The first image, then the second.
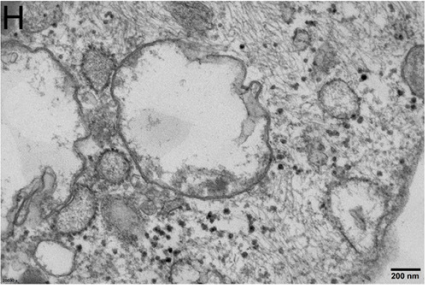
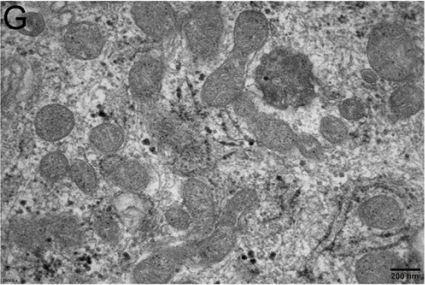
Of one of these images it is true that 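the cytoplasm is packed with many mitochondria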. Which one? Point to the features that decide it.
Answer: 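The second image. First image: a large clear vacuole and smaller vesicles, no organelles with clear cristae. Second image: numerous round and oval organelles with cristae fill the field.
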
